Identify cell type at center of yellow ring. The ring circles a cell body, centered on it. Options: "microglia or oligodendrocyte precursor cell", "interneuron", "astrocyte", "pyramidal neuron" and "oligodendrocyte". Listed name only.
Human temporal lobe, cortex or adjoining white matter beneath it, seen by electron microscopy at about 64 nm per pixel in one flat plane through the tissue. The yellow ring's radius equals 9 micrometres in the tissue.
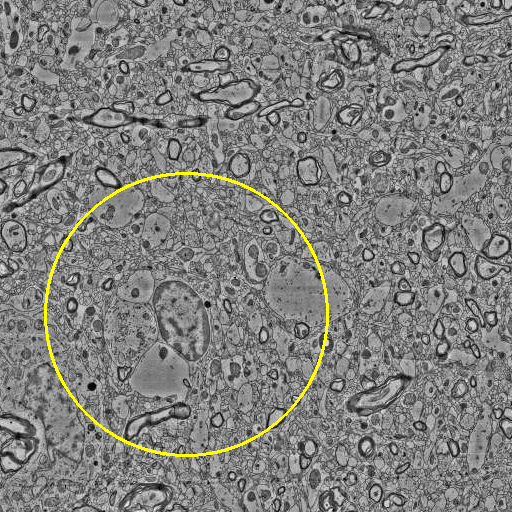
microglia or oligodendrocyte precursor cell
